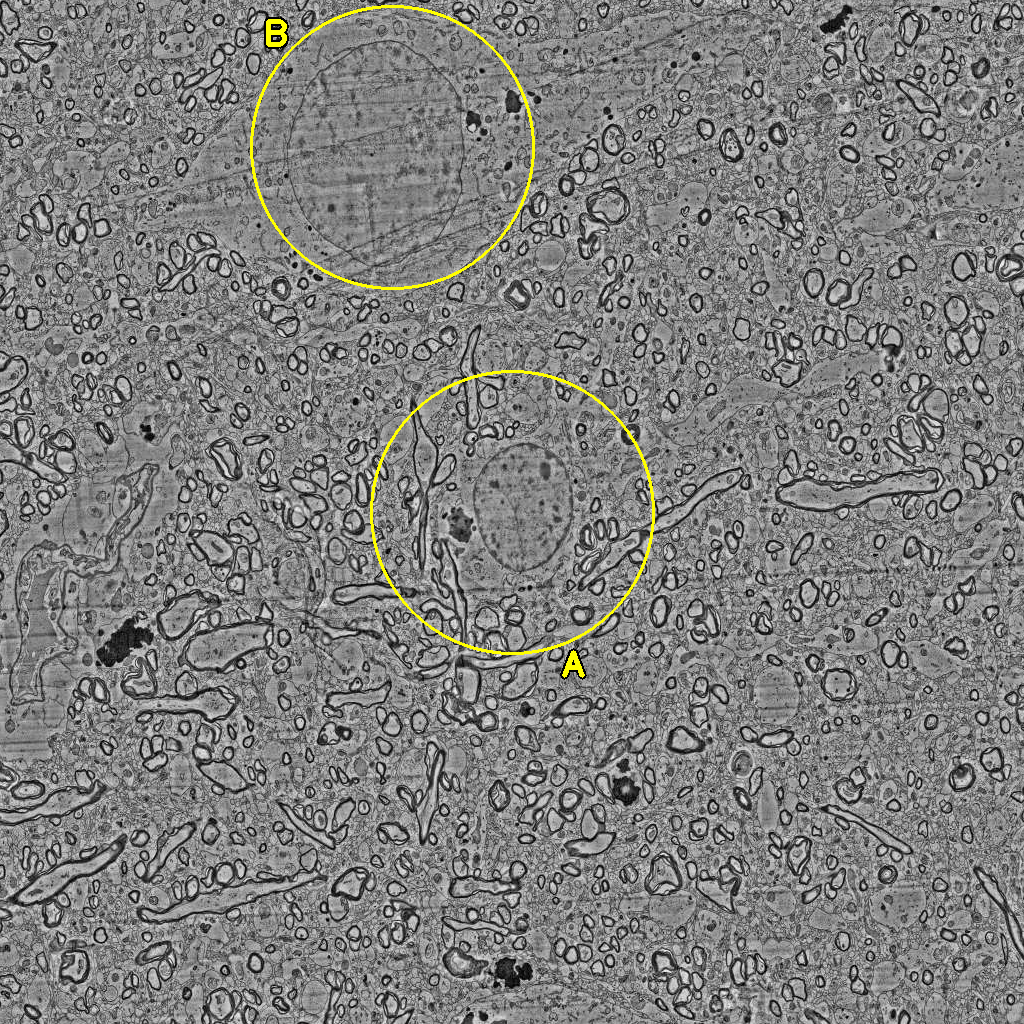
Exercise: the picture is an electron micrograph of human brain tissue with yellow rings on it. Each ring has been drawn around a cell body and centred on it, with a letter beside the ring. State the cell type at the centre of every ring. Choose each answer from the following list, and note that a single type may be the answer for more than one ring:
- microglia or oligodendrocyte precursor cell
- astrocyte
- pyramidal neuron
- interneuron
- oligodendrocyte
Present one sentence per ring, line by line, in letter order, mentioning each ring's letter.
Ring A shows an astrocyte at its centre.
Ring B shows a pyramidal neuron at its centre.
